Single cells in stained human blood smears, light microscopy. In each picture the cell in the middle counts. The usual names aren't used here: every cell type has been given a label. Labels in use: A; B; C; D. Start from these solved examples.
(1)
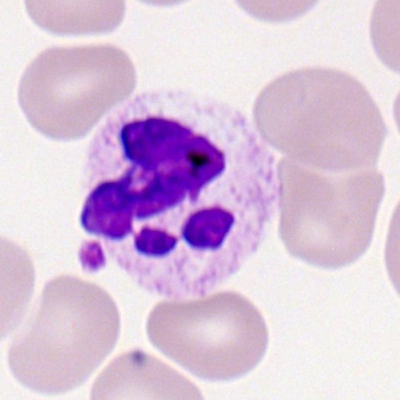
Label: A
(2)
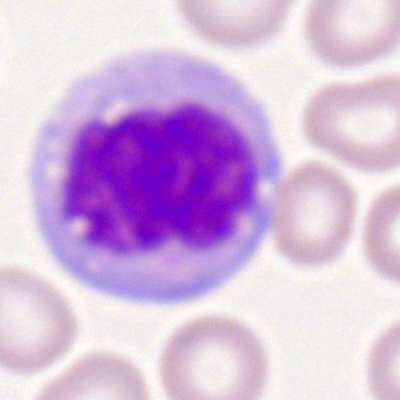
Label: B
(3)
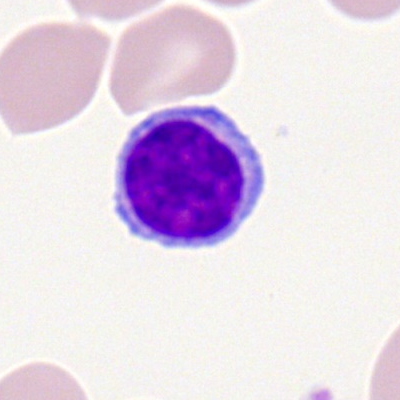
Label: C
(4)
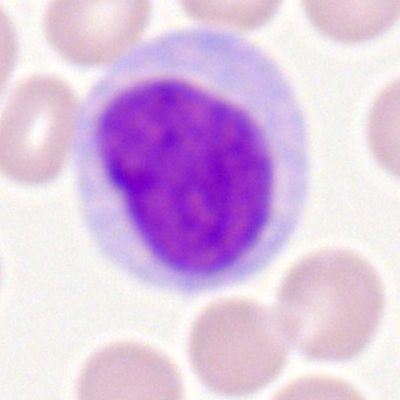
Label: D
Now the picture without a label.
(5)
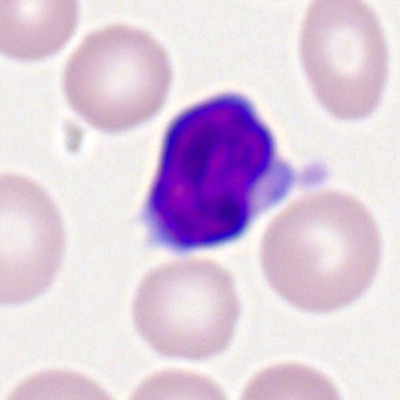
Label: C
